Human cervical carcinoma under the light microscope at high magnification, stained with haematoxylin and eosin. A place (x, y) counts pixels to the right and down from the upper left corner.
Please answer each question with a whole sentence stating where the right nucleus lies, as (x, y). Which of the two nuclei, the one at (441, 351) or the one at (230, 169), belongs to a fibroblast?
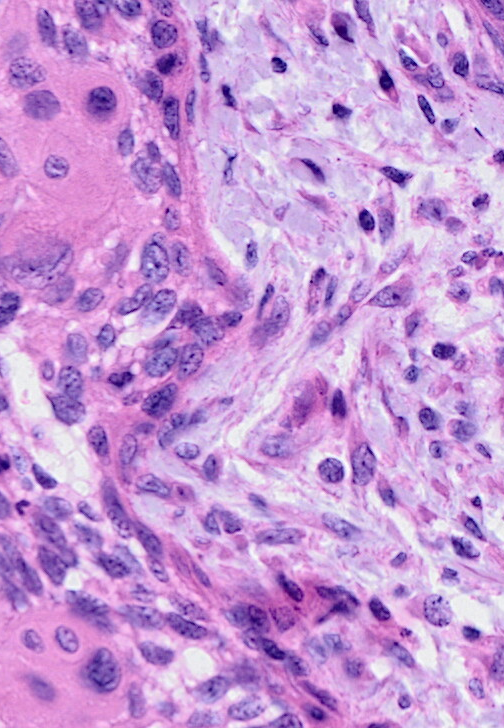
The nucleus at (230, 169) belongs to a fibroblast, which distinguishes it from the other nucleus.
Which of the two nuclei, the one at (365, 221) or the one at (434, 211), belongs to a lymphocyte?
Here the nucleus at (365, 221) is the one that belongs to a lymphocyte.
